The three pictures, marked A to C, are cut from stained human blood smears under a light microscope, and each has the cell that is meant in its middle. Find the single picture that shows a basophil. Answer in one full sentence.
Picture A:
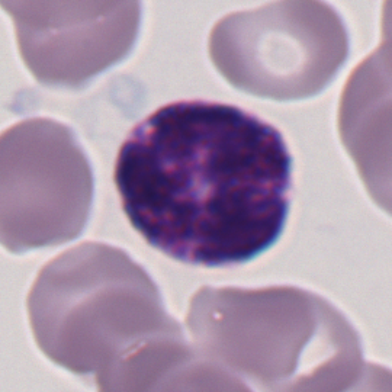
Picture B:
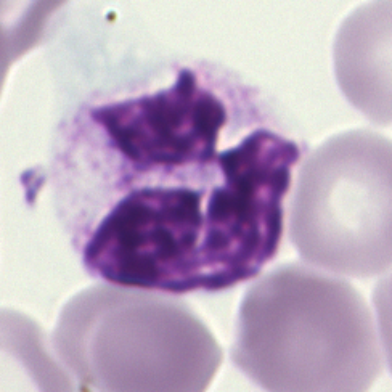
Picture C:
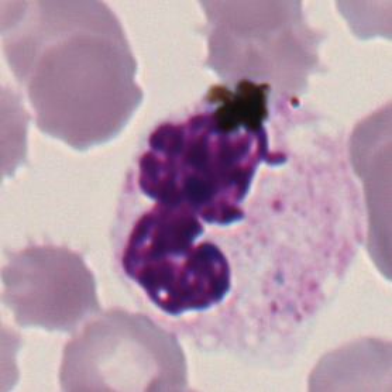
Picture A shows the basophil.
